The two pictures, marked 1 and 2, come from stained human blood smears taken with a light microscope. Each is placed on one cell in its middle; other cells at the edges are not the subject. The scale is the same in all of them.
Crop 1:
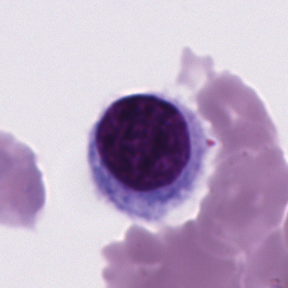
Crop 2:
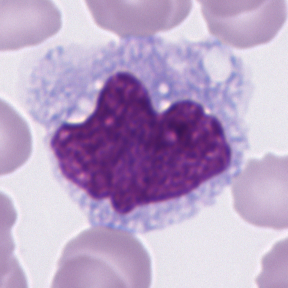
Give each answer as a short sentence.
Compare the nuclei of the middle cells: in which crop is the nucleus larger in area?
The nucleus in crop 2 is larger, with about 2 times the area of the one in crop 1.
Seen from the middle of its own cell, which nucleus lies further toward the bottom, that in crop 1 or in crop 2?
Seen within its cell, the nucleus in crop 2 lies further toward the bottom.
